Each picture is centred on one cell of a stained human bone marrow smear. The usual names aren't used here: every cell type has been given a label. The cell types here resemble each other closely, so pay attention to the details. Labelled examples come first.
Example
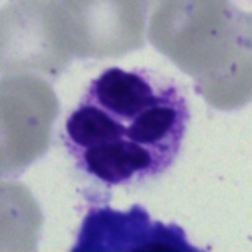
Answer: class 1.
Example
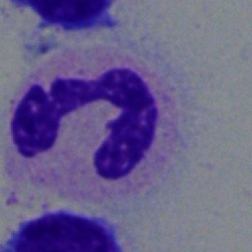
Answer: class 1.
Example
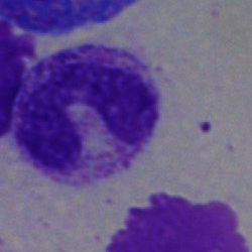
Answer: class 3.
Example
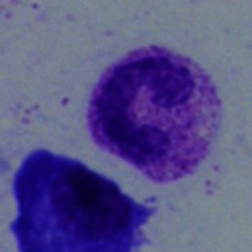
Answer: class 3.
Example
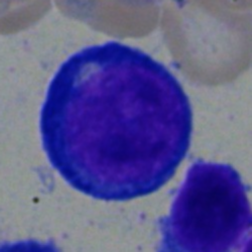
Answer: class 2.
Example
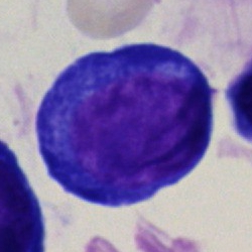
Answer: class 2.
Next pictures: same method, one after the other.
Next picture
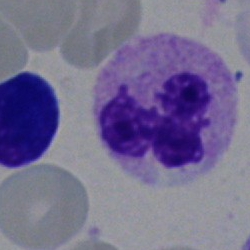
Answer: class 1.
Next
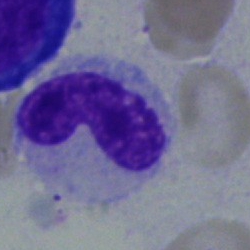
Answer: class 3.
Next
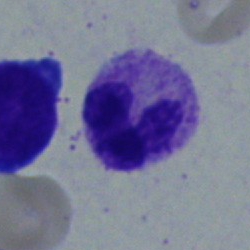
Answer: class 3.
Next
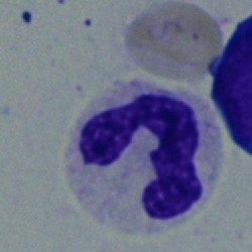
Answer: class 1.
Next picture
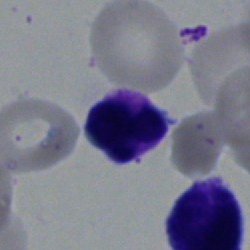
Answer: class 1.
